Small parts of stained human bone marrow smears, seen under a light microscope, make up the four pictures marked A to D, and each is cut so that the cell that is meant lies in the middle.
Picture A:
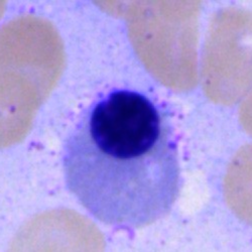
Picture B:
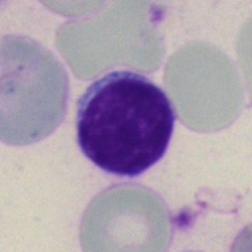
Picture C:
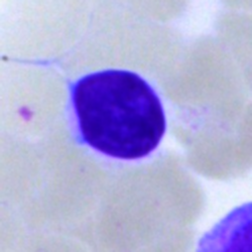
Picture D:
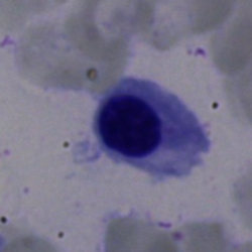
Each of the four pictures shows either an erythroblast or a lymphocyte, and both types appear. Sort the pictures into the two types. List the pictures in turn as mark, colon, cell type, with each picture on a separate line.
A: erythroblast
B: lymphocyte
C: lymphocyte
D: erythroblast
